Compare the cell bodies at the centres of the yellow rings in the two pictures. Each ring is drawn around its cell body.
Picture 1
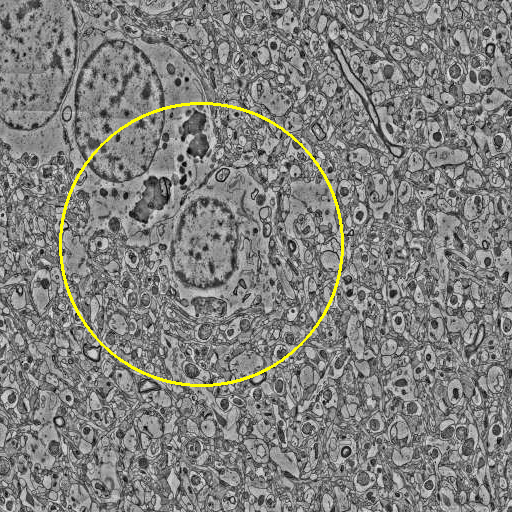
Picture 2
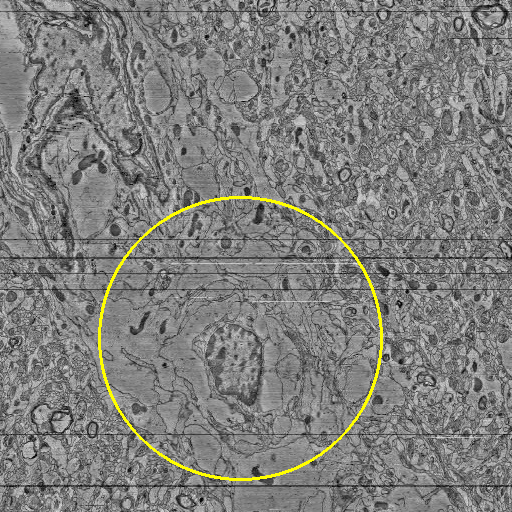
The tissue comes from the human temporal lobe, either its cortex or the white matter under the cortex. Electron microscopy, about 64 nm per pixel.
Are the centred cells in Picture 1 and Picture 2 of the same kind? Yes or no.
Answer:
no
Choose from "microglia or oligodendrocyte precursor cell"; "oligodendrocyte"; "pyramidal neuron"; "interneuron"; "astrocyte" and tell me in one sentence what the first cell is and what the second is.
What the first ring is centred on is an astrocyte; what the second ring is centred on is a microglial cell or oligodendrocyte precursor cell.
